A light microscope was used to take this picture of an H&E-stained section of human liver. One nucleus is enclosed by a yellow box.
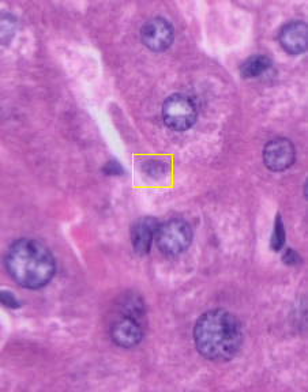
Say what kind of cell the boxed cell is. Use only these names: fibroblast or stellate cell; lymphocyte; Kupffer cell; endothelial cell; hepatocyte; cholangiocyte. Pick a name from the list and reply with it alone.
Kupffer cell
